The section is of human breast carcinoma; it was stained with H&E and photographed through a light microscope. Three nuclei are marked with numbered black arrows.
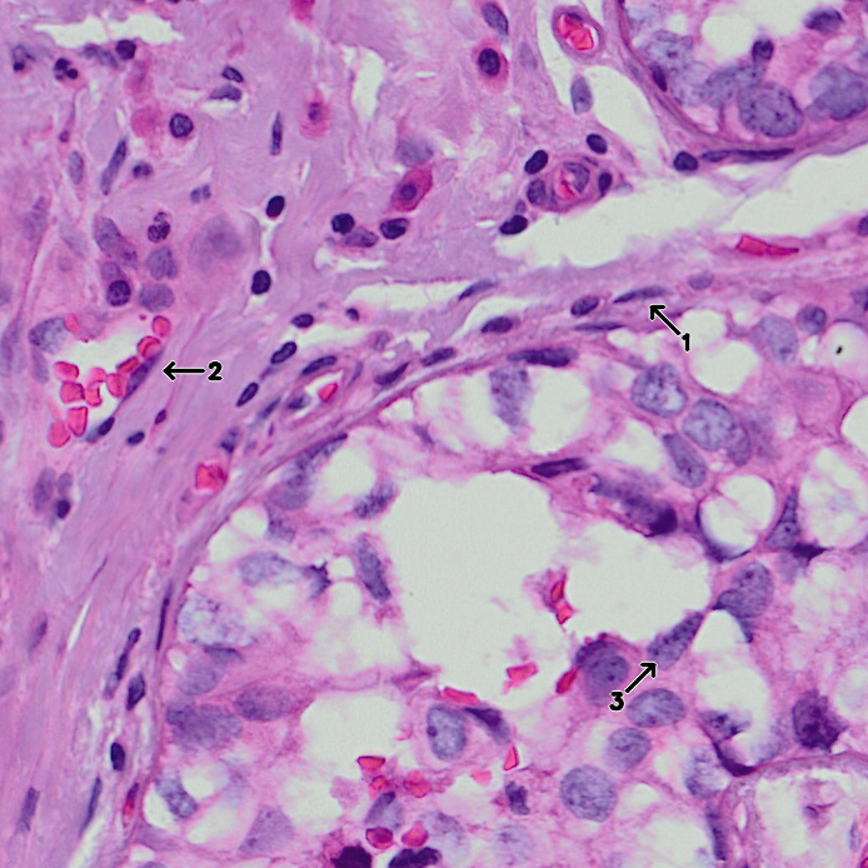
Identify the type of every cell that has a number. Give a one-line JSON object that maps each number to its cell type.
{"1": "fibroblast", "2": "endothelial cell", "3": "carcinoma cell"}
